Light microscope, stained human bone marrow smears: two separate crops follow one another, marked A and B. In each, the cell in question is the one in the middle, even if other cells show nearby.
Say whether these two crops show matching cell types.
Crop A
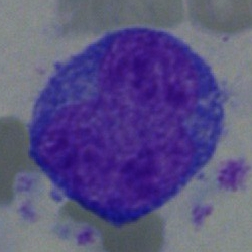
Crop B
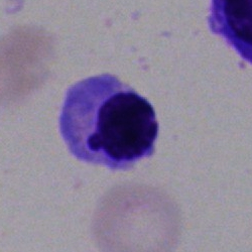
no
